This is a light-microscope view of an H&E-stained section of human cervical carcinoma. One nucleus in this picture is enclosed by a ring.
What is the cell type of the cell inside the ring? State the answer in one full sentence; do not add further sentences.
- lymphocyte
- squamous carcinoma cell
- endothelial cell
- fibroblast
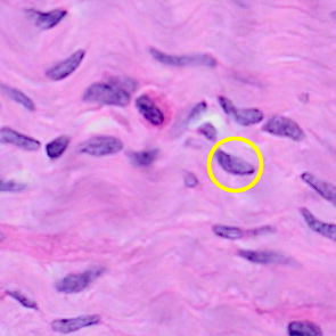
By its classification, the cell inside the ring is a fibroblast.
